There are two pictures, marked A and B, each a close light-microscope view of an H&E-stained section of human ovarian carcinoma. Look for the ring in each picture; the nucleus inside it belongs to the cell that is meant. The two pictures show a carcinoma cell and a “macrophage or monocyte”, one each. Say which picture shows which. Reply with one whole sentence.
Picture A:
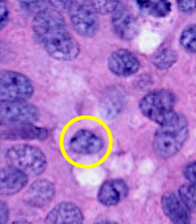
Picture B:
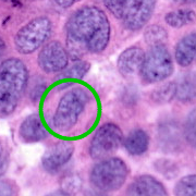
Picture B shows a carcinoma cell, while picture A shows a “macrophage or monocyte”.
